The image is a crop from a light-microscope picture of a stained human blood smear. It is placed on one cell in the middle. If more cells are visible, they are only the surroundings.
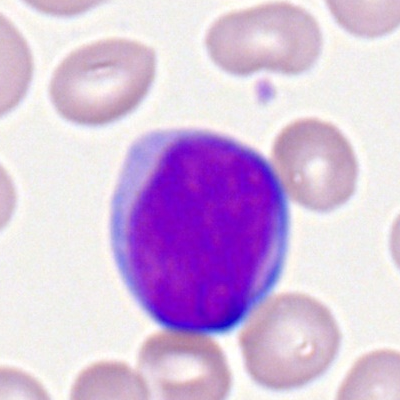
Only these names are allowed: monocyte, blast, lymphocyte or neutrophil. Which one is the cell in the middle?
blast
